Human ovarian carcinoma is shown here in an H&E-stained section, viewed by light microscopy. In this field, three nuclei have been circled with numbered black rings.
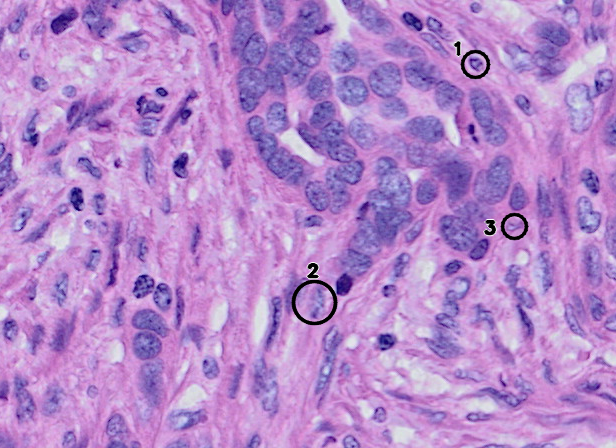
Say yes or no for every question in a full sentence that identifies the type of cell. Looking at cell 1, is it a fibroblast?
No, what is marked as number 1 is a lymphocyte rather than a fibroblast.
